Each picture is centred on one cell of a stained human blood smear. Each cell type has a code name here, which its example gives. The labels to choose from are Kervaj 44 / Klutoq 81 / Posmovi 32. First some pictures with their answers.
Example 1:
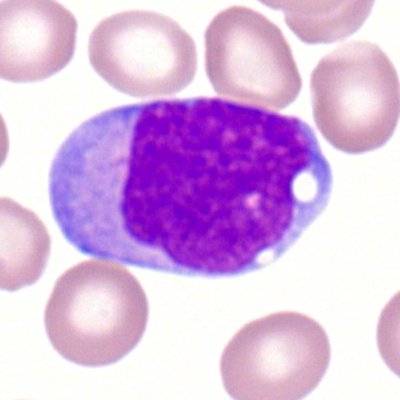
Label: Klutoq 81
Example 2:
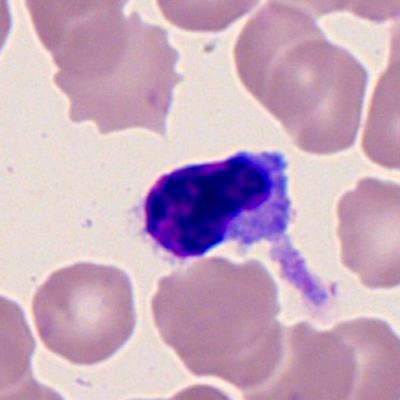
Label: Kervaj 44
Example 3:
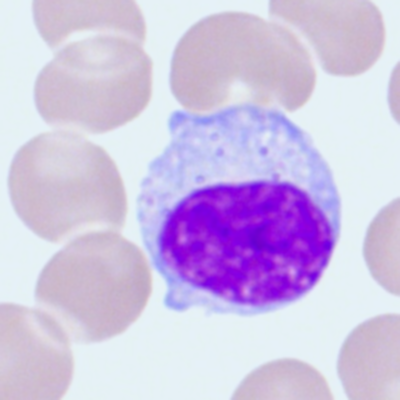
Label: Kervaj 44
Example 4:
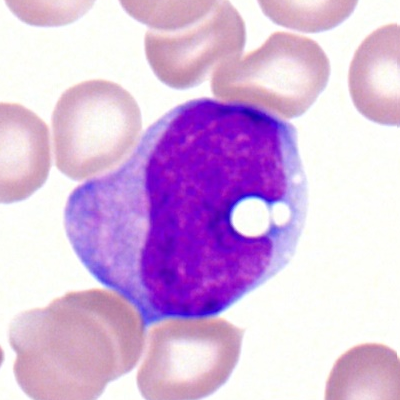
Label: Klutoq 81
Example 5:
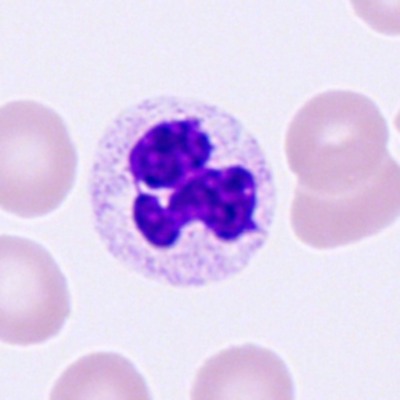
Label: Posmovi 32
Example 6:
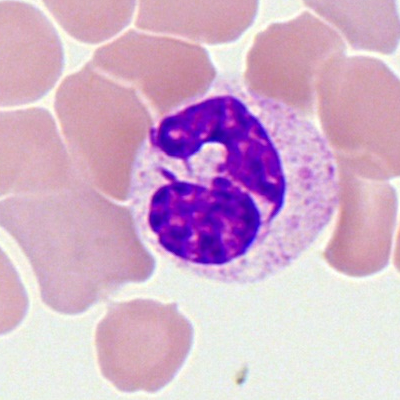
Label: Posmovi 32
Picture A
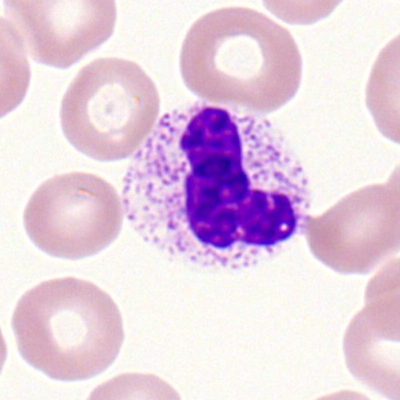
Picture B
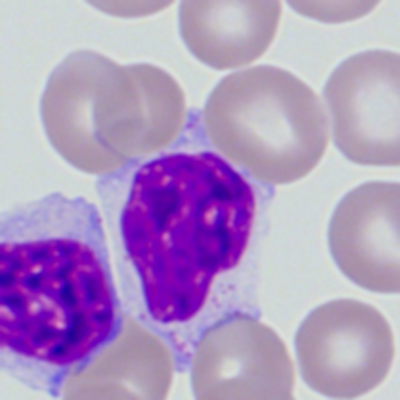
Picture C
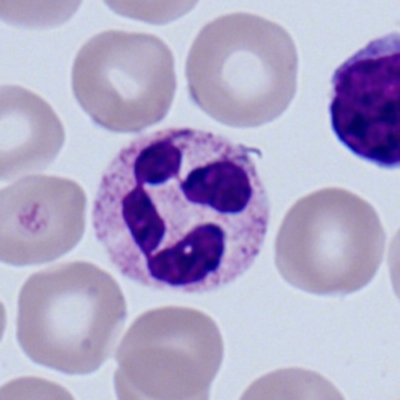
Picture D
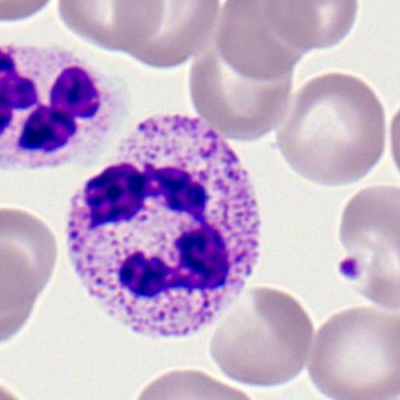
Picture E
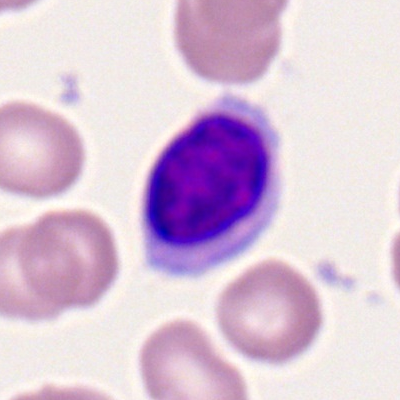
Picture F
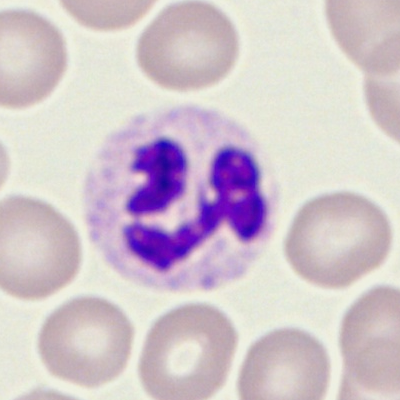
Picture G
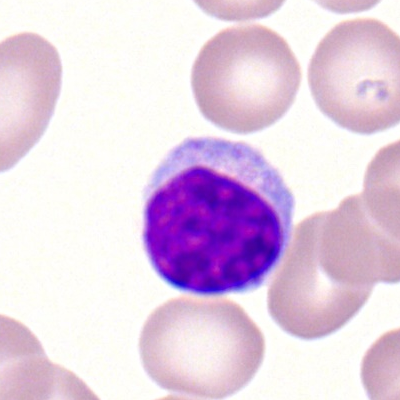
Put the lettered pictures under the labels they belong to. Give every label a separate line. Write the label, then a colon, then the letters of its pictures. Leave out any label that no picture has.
Kervaj 44: B, E, G
Posmovi 32: A, C, D, F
